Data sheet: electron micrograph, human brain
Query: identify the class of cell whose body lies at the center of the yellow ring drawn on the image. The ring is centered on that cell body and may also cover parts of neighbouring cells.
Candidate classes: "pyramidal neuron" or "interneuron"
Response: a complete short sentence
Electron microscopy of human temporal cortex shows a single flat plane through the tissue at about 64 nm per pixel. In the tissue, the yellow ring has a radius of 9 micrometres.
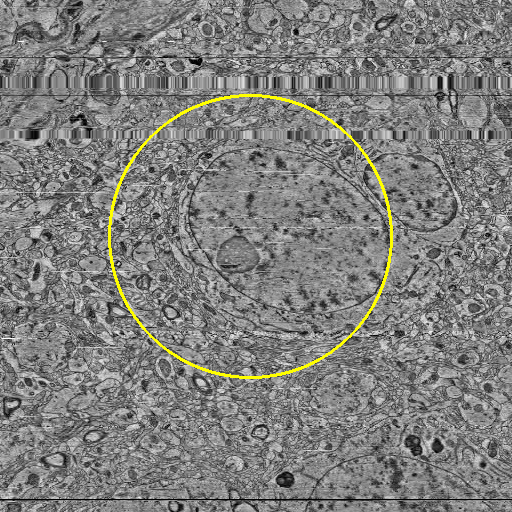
At the center of the ring lies a pyramidal neuron.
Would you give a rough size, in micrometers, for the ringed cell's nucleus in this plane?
The nucleus has a long axis of about 14 micrometres and a short axis of about 10 micrometres in this plane.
